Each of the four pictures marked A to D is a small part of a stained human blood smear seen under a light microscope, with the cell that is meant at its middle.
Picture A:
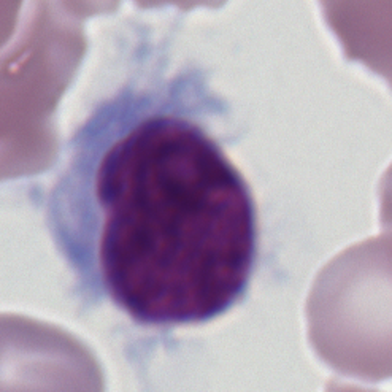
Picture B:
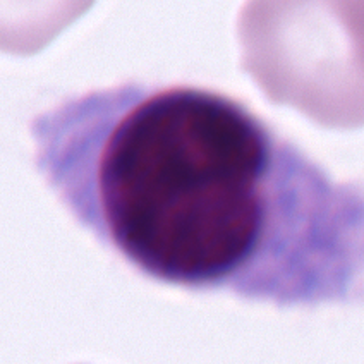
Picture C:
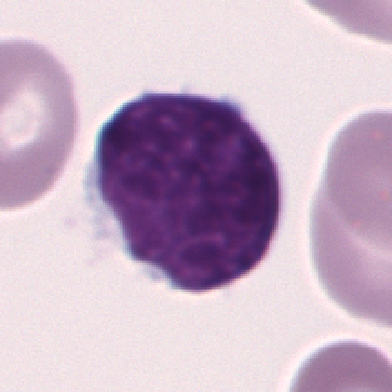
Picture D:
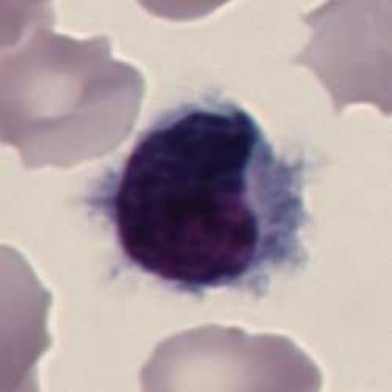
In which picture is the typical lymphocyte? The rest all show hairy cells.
C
